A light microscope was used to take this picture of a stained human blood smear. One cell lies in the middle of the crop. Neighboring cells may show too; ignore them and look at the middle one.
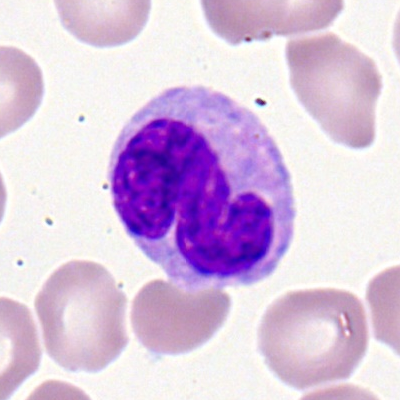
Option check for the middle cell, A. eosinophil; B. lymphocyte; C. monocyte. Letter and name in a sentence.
The cell at the heart of the crop is a monocyte, so choose option C.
